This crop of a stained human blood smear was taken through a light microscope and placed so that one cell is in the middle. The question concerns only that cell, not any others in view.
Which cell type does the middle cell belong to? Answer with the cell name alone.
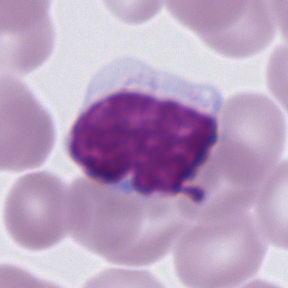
large granular lymphocyte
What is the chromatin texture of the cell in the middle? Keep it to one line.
The chromatin of this one is coarsely clumped.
